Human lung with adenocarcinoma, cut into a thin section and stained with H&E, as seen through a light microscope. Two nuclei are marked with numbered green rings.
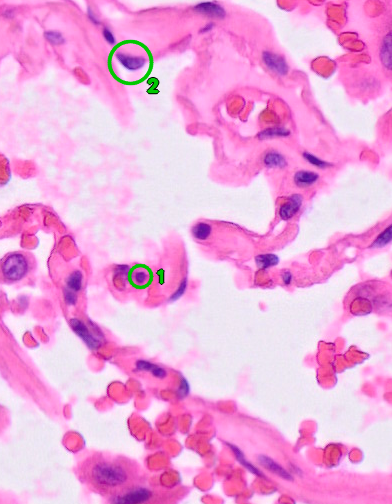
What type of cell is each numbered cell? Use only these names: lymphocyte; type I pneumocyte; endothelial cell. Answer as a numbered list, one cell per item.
1. endothelial cell
2. type I pneumocyte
